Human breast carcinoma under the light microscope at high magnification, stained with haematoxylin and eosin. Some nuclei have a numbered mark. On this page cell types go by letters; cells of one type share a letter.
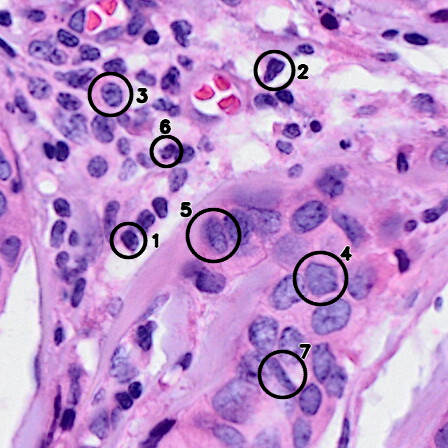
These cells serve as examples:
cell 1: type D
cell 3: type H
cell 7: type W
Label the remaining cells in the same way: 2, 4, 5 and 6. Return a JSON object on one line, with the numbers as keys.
{"2": "type D", "4": "type W", "5": "type W", "6": "type D"}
